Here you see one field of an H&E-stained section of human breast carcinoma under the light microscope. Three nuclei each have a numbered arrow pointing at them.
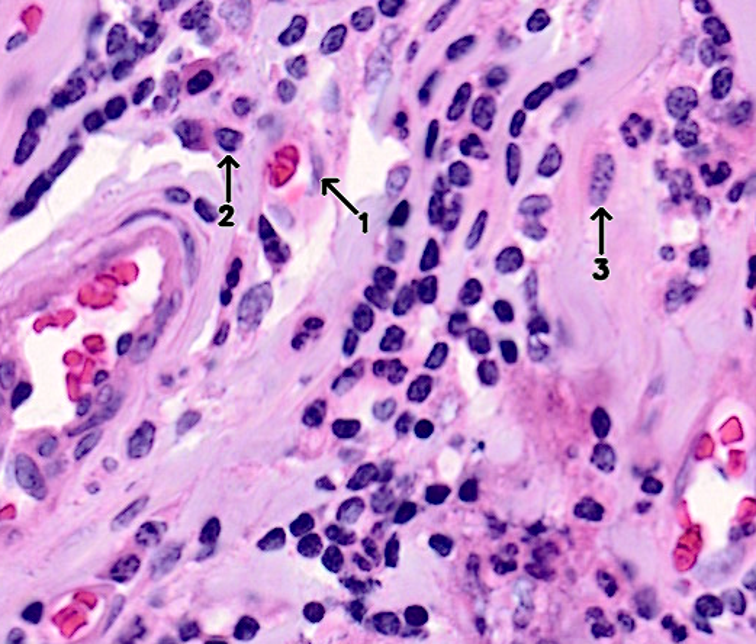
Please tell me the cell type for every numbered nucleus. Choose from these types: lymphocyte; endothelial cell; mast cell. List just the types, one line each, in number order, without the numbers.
endothelial cell
lymphocyte
mast cell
